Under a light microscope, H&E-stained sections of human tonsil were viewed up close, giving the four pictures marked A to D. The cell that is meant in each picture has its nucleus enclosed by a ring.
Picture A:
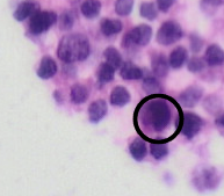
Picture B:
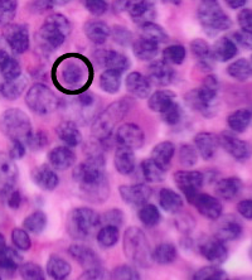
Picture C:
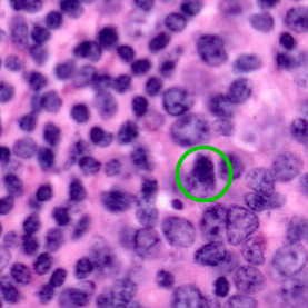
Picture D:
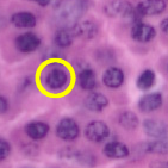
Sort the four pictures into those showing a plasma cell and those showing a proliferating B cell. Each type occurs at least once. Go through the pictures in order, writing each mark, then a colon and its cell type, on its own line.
A: proliferating B cell
B: proliferating B cell
C: proliferating B cell
D: plasma cell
